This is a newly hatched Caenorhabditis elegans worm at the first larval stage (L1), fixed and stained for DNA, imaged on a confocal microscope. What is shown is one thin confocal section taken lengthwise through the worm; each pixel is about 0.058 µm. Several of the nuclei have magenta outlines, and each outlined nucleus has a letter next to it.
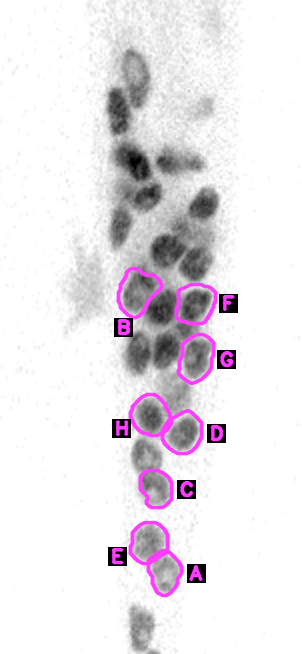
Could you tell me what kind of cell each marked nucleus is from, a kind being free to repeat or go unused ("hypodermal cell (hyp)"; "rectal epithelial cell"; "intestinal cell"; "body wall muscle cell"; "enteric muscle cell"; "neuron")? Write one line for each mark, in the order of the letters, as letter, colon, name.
A: hypodermal cell (hyp)
B: rectal epithelial cell
C: hypodermal cell (hyp)
D: neuron
E: hypodermal cell (hyp)
F: enteric muscle cell
G: body wall muscle cell
H: neuron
